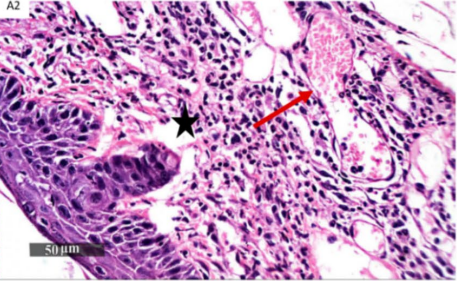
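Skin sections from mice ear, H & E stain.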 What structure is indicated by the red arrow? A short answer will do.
Blood vessels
